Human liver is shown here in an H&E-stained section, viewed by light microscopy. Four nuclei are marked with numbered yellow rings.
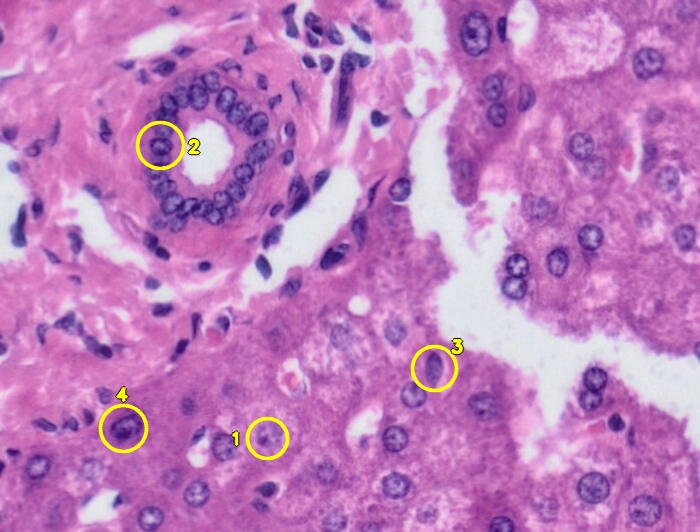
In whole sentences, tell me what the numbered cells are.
Cell 1 is a hepatocyte, cell 2 is a cholangiocyte, cell 3 is a Kupffer cell and cell 4 is a hepatocyte.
